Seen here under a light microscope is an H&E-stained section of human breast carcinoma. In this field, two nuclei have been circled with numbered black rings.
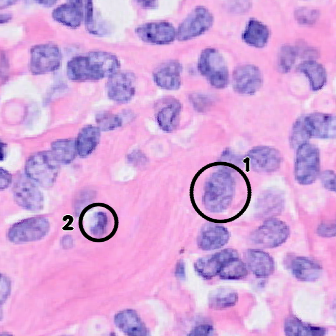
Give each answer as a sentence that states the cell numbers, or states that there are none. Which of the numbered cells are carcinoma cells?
In this set of numbered cells, only cell 1 is a carcinoma cell.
